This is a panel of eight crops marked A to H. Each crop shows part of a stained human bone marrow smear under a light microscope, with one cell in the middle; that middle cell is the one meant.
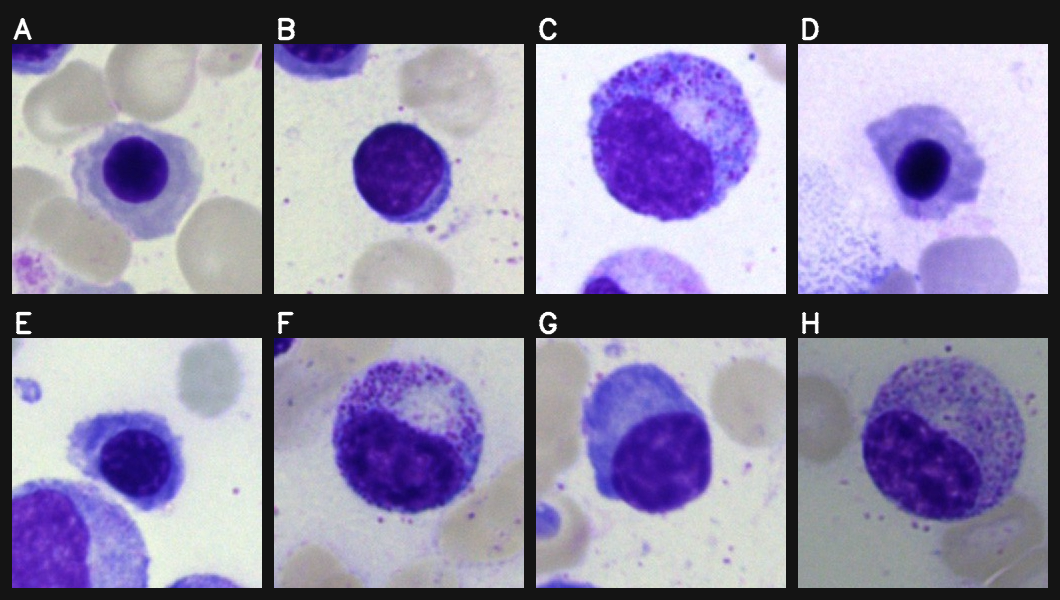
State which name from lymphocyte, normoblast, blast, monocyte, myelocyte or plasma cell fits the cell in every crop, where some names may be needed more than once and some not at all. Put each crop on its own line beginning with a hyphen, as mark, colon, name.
- A: normoblast
- B: lymphocyte
- C: myelocyte
- D: normoblast
- E: normoblast
- F: myelocyte
- G: plasma cell
- H: myelocyte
